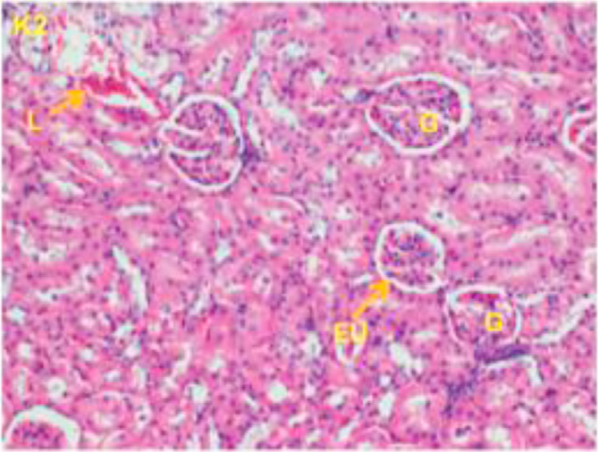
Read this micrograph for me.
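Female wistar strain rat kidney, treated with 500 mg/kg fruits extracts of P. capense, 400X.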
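Renal cortex showing several glomeruli as rounded cellular tufts ringed by a clear space within a thin capsule, set among closely packed convoluted tubules lined by cells with pink cytoplasm and purple nuclei. At the upper left, a small space filled with red blood cells stands out against the pink tissue.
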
